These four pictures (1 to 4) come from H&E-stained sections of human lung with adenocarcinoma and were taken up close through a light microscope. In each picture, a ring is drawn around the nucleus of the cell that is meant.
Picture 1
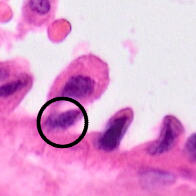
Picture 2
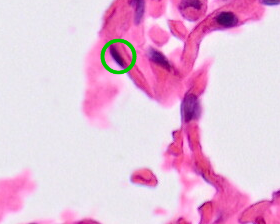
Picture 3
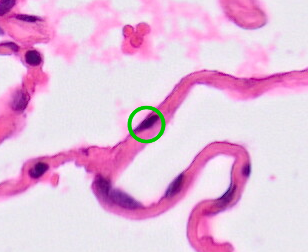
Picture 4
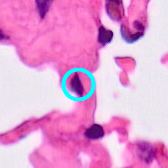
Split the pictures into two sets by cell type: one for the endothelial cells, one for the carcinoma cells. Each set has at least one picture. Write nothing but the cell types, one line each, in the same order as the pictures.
carcinoma cell
endothelial cell
endothelial cell
endothelial cell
